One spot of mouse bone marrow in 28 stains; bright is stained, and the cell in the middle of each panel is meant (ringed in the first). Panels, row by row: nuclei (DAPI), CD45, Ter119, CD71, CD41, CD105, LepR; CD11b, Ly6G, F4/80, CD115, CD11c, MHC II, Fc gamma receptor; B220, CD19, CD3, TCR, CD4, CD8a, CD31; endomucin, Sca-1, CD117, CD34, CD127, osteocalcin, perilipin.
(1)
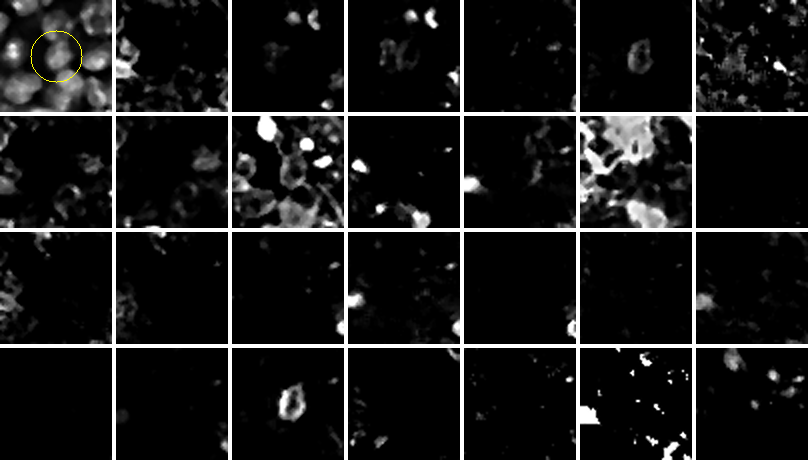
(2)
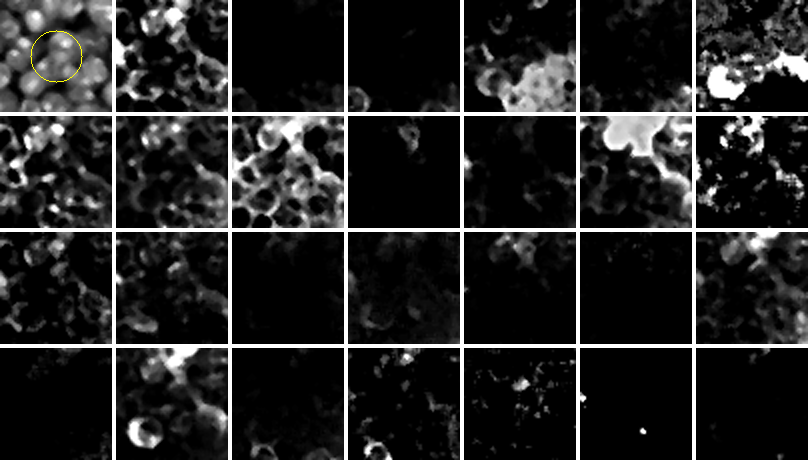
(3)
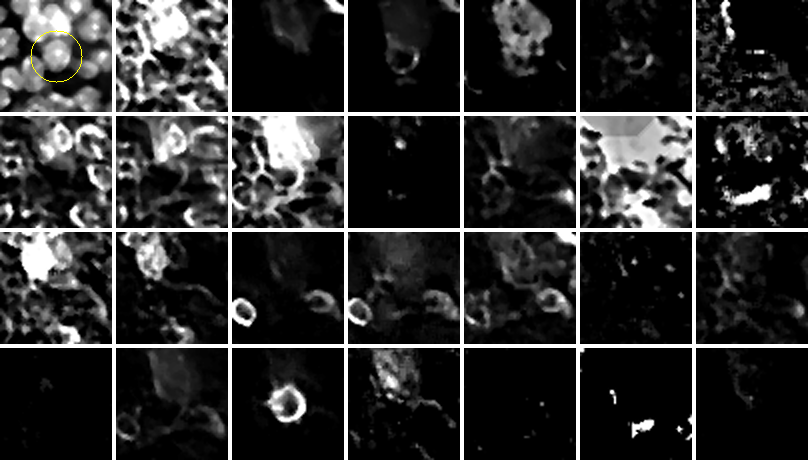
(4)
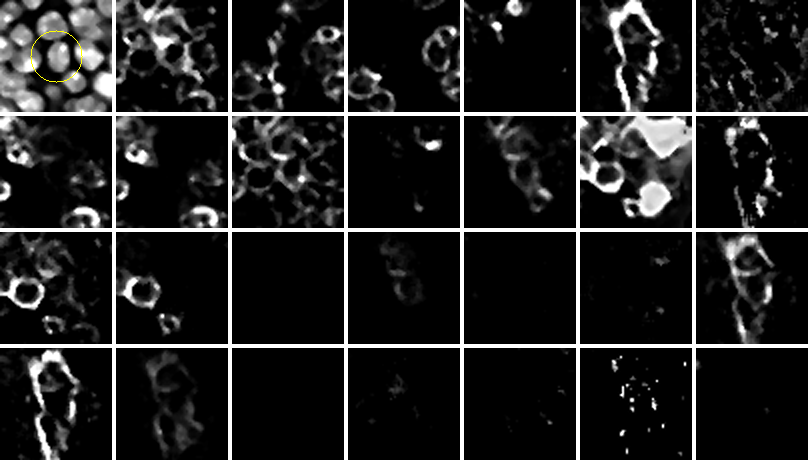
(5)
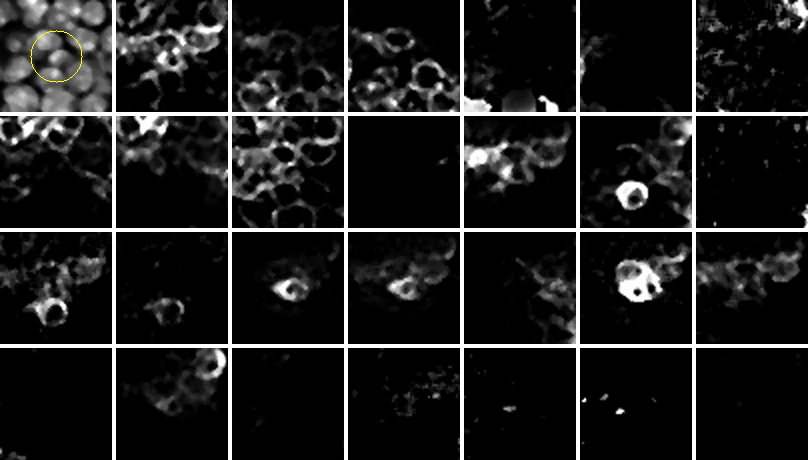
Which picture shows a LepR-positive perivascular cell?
Picture 2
